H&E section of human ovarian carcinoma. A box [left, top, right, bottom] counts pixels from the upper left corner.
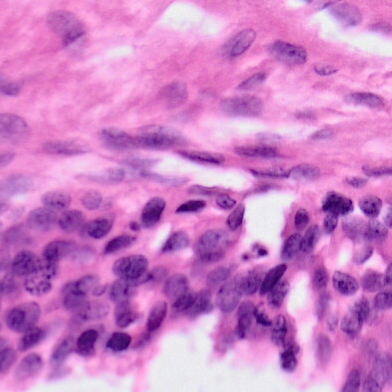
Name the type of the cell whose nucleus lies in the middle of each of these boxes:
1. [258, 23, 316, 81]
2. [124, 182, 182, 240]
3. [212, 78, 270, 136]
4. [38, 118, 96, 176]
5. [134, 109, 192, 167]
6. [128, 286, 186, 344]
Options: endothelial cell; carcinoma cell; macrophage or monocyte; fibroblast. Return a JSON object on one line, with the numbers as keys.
{"1": "fibroblast", "2": "carcinoma cell", "3": "fibroblast", "4": "fibroblast", "5": "fibroblast", "6": "carcinoma cell"}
